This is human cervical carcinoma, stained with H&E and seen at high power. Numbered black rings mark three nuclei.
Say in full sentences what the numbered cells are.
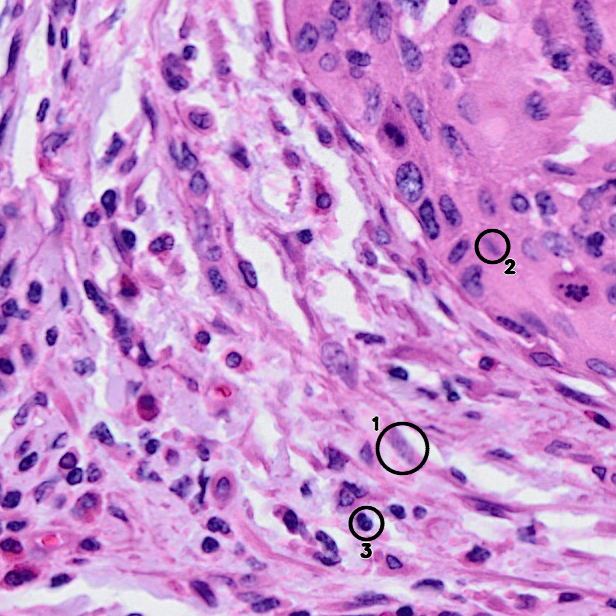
Cell 1 is a fibroblast, cell 2 is a squamous carcinoma cell and cell 3 is a lymphocyte.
